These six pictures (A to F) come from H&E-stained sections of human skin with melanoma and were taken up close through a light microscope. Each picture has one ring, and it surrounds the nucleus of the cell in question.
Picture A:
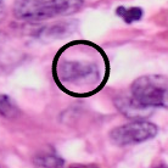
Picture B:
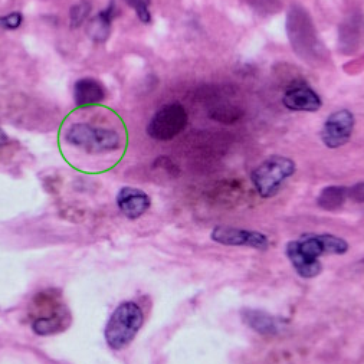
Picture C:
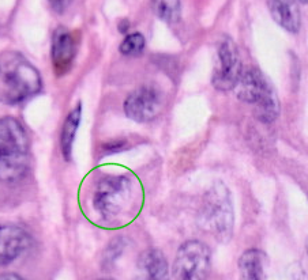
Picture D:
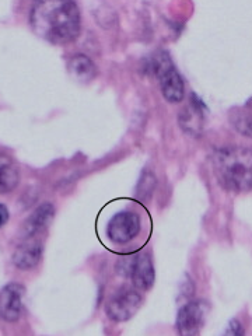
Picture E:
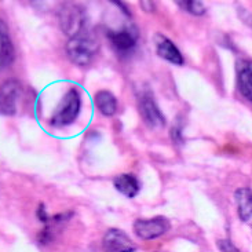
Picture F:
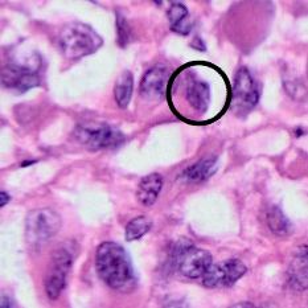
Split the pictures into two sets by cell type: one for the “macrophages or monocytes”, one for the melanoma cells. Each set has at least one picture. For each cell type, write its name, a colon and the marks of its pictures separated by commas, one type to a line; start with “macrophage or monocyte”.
macrophage or monocyte: B, E
melanoma cell: A, C, D, F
